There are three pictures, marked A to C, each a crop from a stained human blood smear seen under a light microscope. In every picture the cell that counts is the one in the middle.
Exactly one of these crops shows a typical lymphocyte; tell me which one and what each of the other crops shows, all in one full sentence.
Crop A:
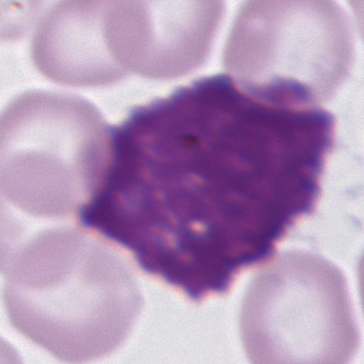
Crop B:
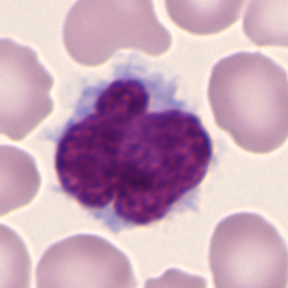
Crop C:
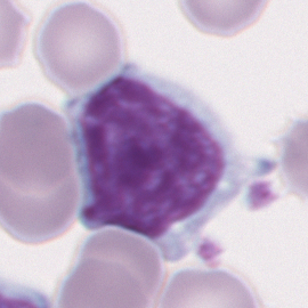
In crop C there is a typical lymphocyte, while crop A is a smudge cell and crop B is a hairy cell.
